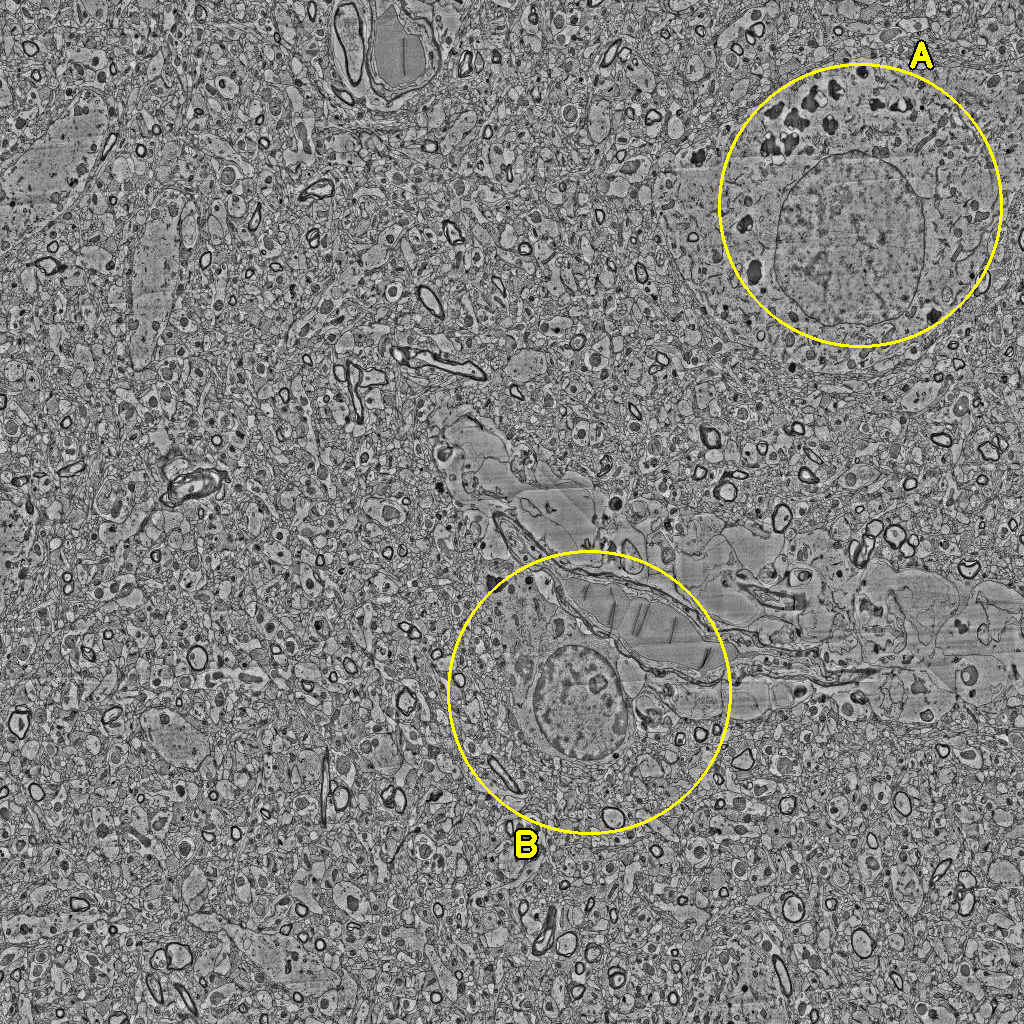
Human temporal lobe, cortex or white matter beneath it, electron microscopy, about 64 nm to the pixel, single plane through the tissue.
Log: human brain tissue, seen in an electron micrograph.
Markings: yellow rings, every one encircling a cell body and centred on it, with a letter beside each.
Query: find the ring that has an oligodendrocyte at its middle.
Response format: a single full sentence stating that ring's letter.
The letter B marks the ring centred on the cell asked for in the image.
